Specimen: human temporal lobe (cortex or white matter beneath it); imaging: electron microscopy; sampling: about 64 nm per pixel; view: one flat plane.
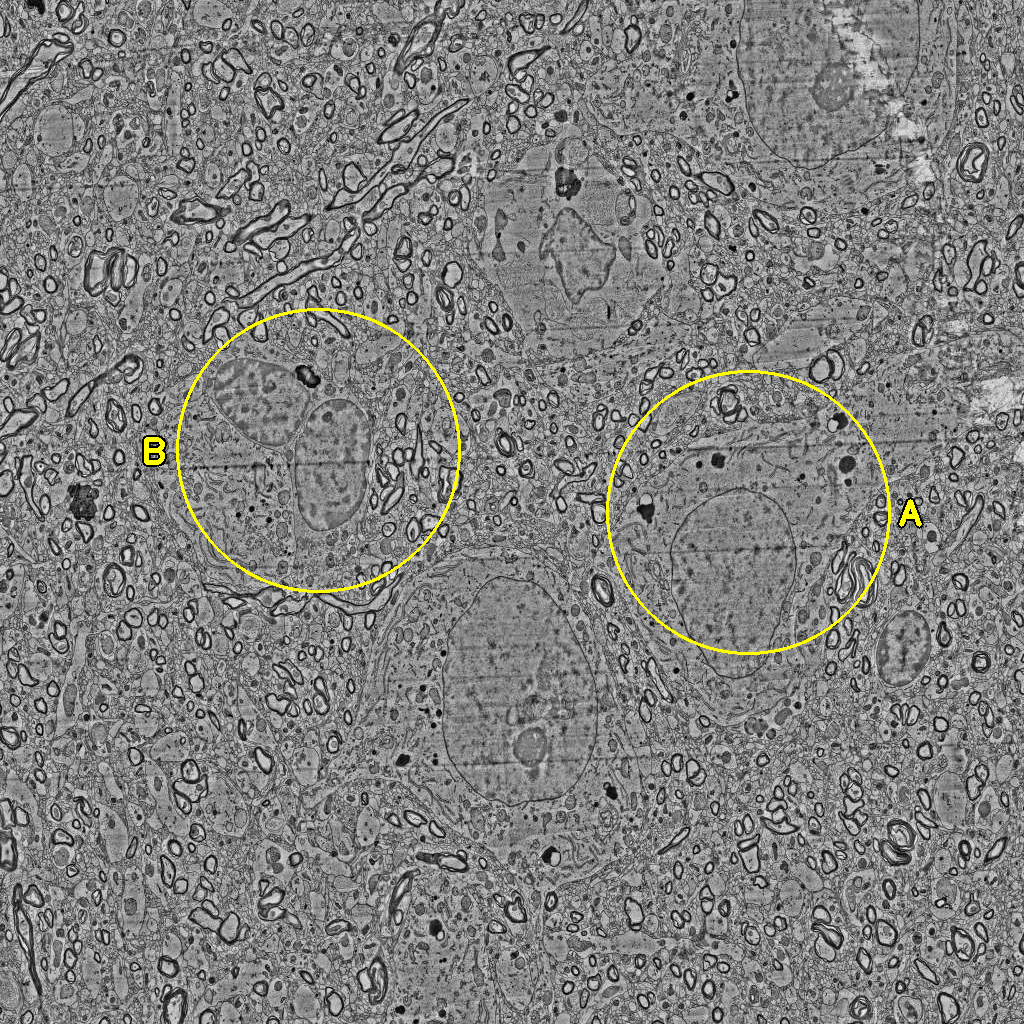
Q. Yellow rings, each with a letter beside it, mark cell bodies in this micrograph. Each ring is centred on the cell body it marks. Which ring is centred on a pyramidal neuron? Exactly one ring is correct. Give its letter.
A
